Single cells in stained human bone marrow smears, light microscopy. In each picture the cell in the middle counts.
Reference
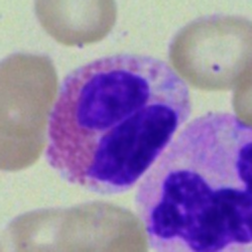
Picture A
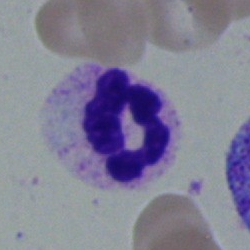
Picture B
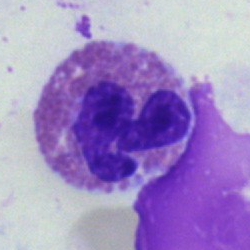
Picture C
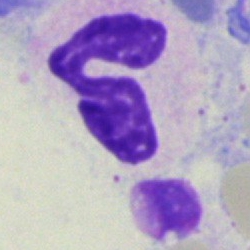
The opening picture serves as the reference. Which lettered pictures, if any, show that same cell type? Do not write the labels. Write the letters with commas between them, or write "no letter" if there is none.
B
